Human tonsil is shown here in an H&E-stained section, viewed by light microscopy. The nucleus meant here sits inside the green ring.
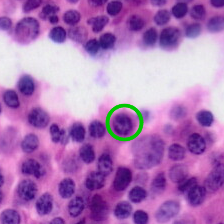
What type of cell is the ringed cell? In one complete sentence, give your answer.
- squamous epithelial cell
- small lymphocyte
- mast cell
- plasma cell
It is as a plasma cell that the ringed cell is recorded.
